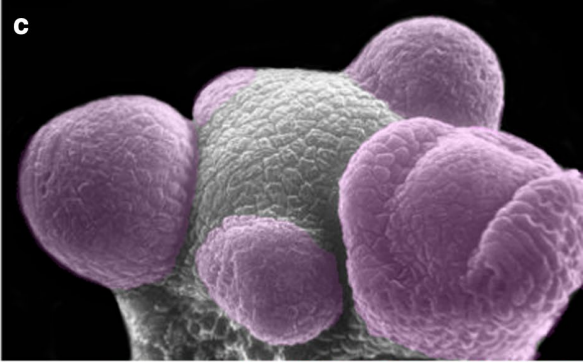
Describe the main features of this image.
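Surface view of a plant shoot apex: a central grey dome, the inflorescence meristem, is ringed by rounded flower buds colored violet. The dome is covered by small, tightly packed polygonal epidermal cells whose outlines give the surface a fine cobbled texture. The buds differ in size, from a small bulge at the lower front to large spherical buds at the left and top; the largest bud at the right shows deep folds dividing its surface into overlapping lobes. The same small polygonal cells cover the buds.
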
